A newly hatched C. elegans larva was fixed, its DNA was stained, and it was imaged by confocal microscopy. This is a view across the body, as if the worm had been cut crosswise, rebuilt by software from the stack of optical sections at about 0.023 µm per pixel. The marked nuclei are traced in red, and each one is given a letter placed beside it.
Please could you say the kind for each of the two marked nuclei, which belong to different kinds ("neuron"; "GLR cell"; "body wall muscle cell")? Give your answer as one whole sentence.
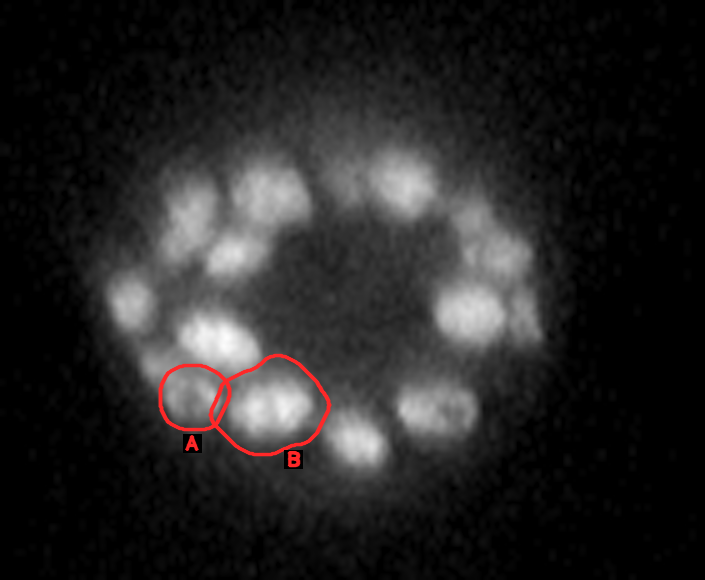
Nucleus A comes from a body wall muscle cell and nucleus B from a neuron.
